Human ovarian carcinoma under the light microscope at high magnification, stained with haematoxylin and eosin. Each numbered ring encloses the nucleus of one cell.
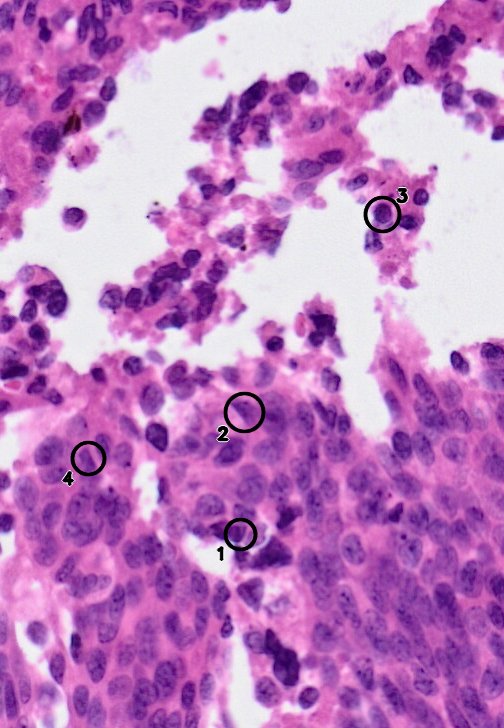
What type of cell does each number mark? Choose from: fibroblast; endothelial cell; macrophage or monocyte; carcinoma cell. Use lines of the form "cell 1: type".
cell 1: carcinoma cell
cell 2: carcinoma cell
cell 3: macrophage or monocyte
cell 4: carcinoma cell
